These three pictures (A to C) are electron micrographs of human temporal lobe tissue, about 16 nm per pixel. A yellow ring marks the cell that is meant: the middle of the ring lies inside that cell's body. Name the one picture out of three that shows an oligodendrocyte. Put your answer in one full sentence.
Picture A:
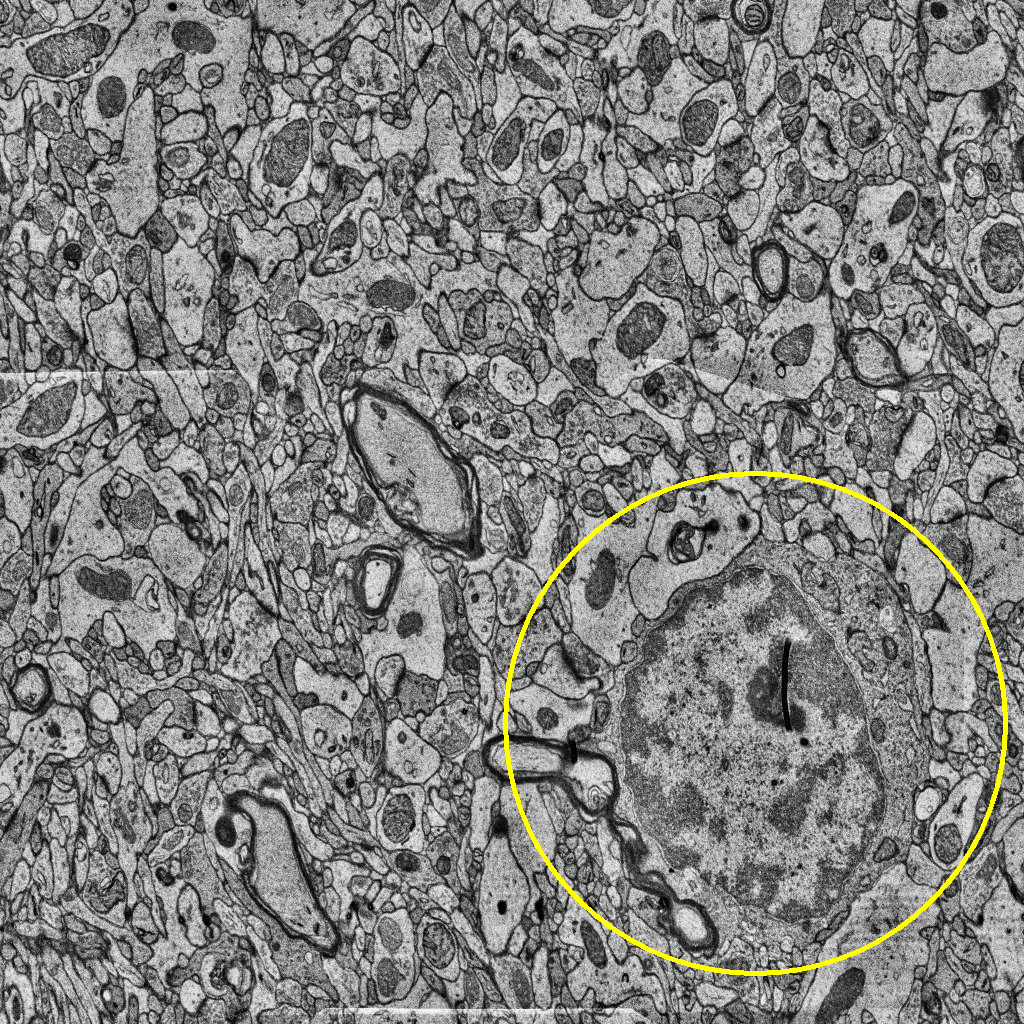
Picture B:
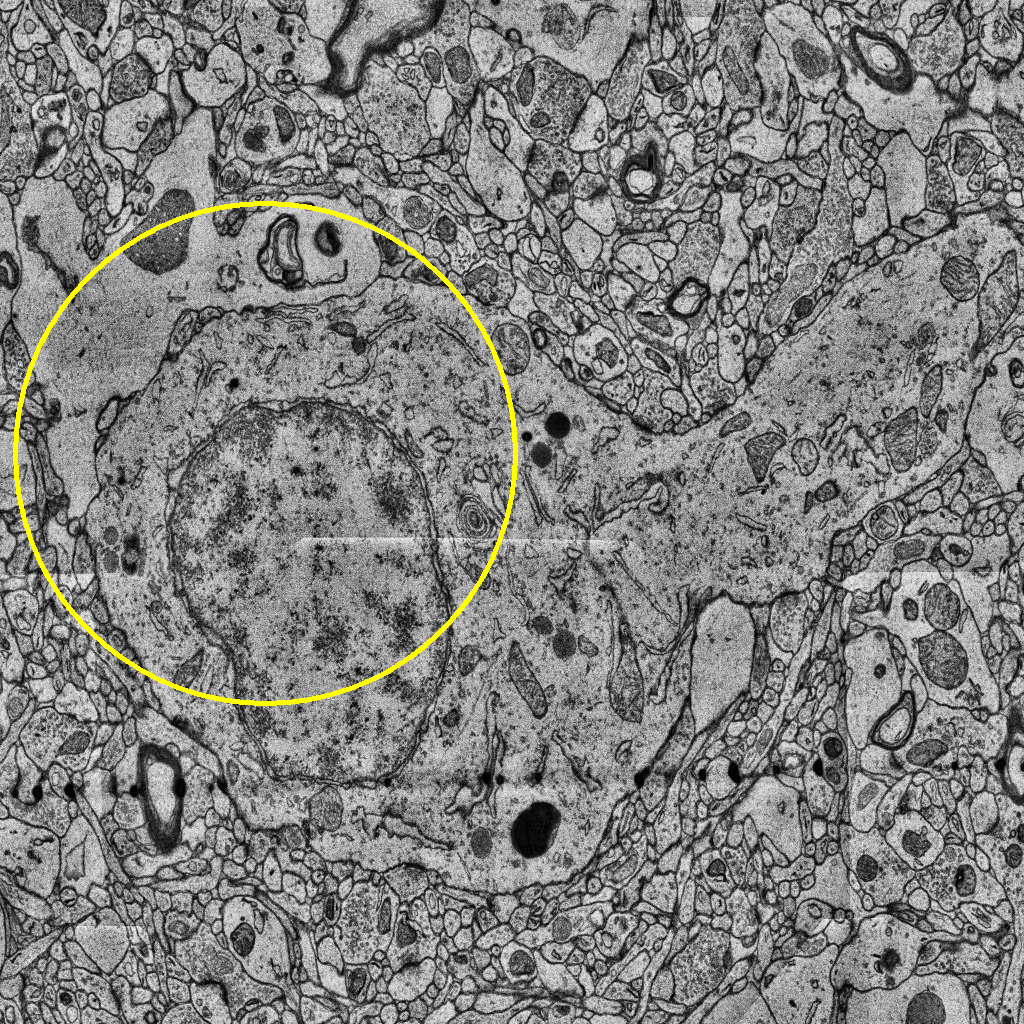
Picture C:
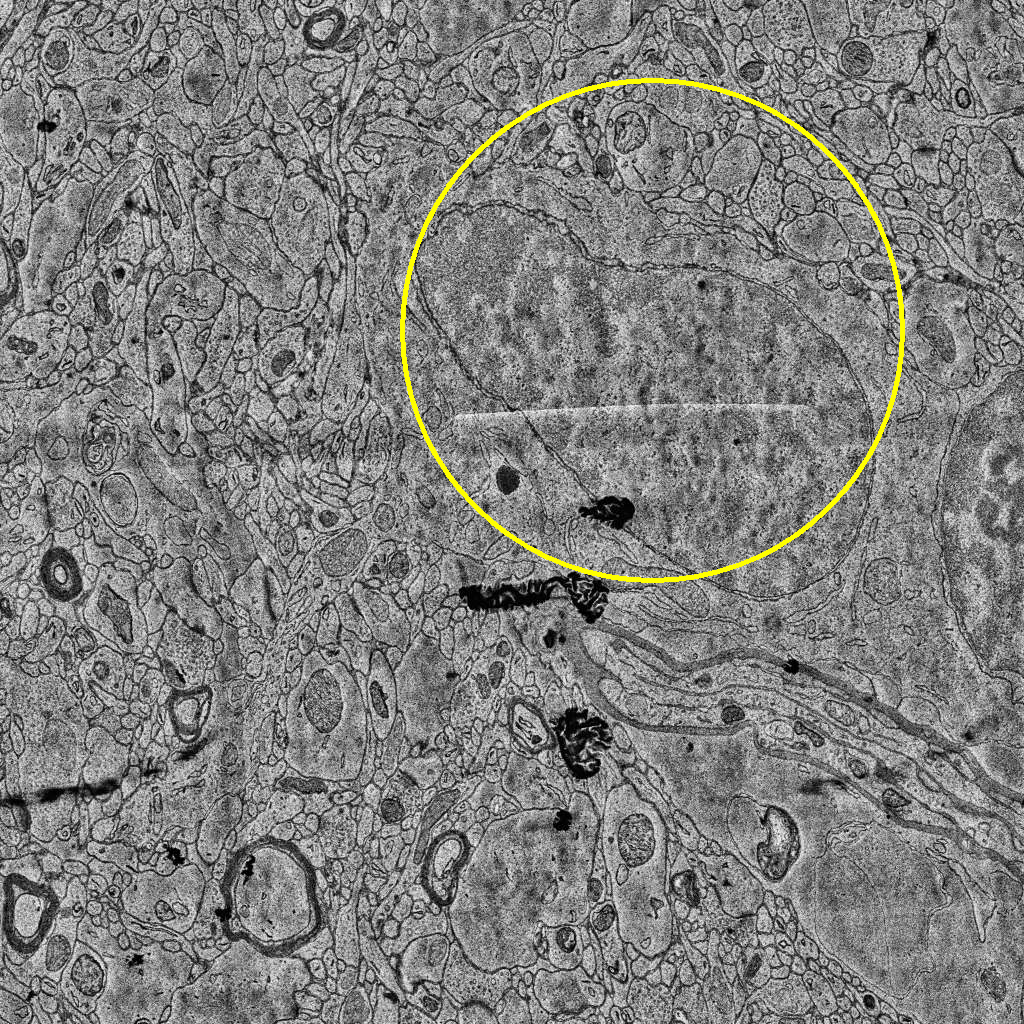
Picture A is the one that shows the oligodendrocyte.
